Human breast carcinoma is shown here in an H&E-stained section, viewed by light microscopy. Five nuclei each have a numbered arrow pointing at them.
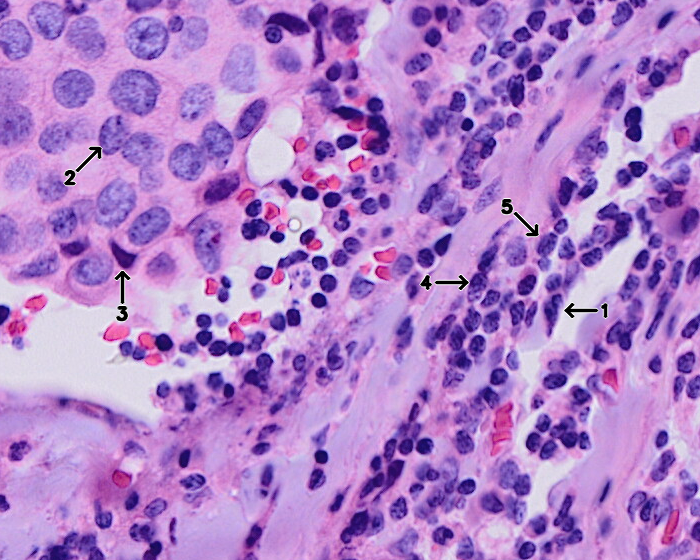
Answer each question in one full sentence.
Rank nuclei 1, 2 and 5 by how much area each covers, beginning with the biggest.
From largest to smallest, the order is 2, 1, 5.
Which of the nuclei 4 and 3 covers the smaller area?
Nucleus 4 is the smaller one; nucleus 3 covers about 1.5 times its area.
